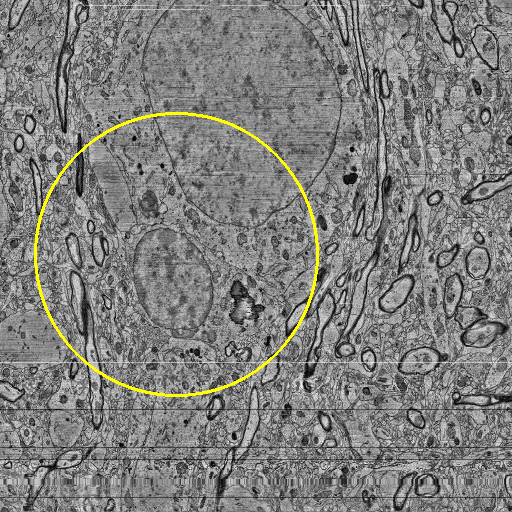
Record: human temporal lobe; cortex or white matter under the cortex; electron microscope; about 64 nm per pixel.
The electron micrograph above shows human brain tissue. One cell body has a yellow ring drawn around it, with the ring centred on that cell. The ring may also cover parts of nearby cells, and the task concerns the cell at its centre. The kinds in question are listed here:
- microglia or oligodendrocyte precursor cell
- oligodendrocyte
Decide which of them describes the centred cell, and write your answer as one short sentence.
The centred cell is an oligodendrocyte.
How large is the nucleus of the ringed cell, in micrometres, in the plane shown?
The nucleus has a long axis of about 7 micrometres and a short axis of about 5 micrometres in this plane.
